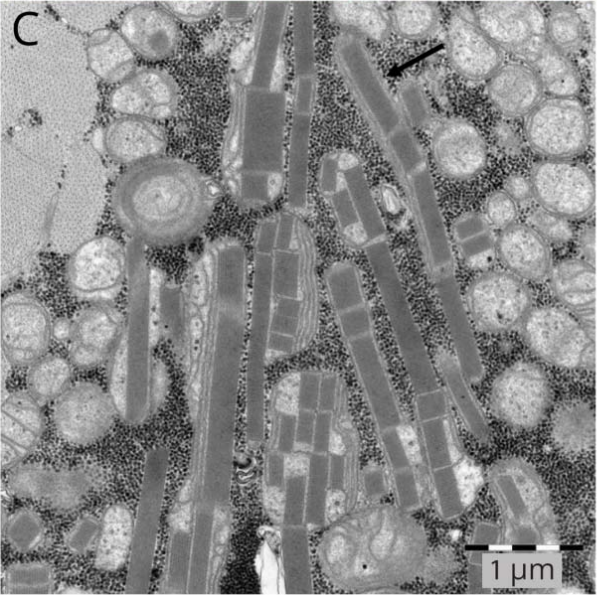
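This transmission electron micrograph of skeletal muscle shows abnormal mitochondria with paracrystalline inclusions. A dense cluster of mitochondria lies in a field packed with dark glycogen-like granules. Most mitochondria are round profiles with pale matrix and cristae. Several are long and narrow, and each is filled with dark rectangular blocks set end to end in a row, like rungs or bricks with straight edges. One mitochondrion shows concentric whorled membranes. Part of a myofibril with fine filament texture lies at the left edge. The mitochondria vary greatly in size and shape.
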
